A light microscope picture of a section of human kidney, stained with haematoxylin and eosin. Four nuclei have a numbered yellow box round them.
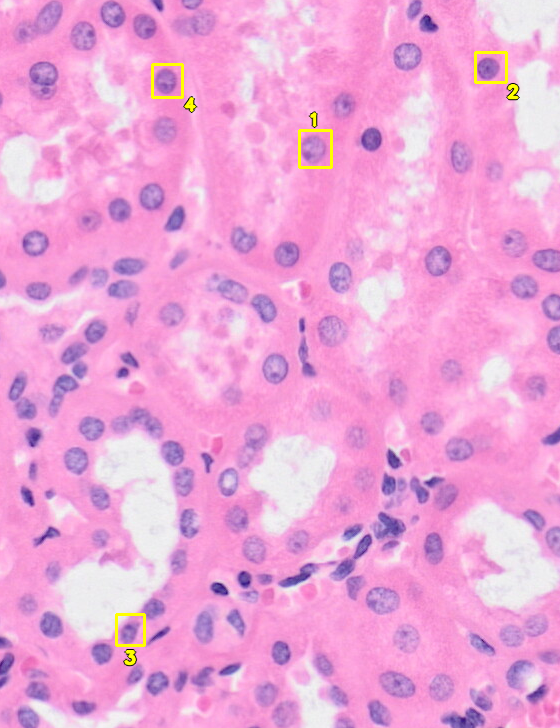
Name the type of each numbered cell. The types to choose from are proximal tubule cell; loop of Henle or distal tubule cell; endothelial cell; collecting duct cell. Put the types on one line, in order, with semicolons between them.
proximal tubule cell; proximal tubule cell; loop of Henle or distal tubule cell; proximal tubule cell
